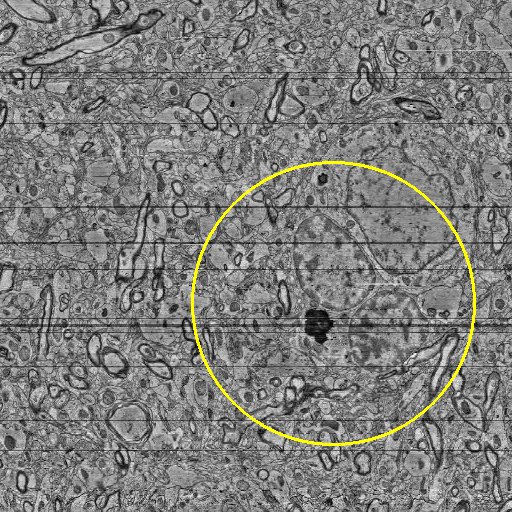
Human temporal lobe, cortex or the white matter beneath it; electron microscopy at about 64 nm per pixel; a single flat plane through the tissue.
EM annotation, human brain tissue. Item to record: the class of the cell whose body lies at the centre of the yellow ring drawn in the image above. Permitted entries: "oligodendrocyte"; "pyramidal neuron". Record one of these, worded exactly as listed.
oligodendrocyte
